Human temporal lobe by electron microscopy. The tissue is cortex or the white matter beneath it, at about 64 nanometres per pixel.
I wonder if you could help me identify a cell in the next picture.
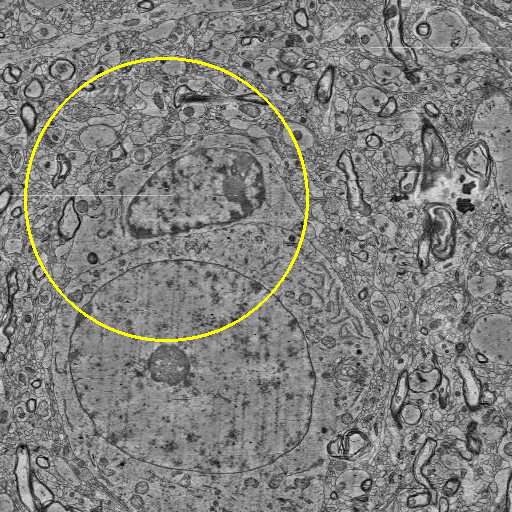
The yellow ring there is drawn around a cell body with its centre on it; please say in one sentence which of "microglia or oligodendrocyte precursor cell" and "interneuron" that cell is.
The yellow ring is centred on a microglial cell or oligodendrocyte precursor cell.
